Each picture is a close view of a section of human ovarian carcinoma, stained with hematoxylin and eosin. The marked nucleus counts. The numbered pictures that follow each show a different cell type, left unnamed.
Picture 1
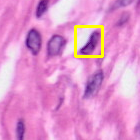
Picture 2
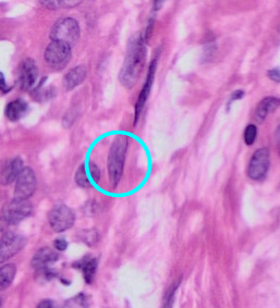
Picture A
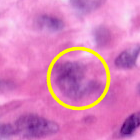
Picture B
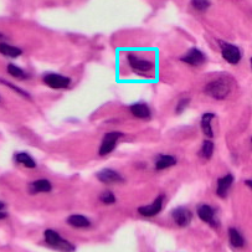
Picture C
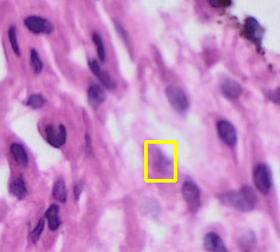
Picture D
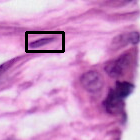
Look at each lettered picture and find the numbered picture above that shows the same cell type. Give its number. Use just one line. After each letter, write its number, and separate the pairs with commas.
A 1, B 1, C 1, D 1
